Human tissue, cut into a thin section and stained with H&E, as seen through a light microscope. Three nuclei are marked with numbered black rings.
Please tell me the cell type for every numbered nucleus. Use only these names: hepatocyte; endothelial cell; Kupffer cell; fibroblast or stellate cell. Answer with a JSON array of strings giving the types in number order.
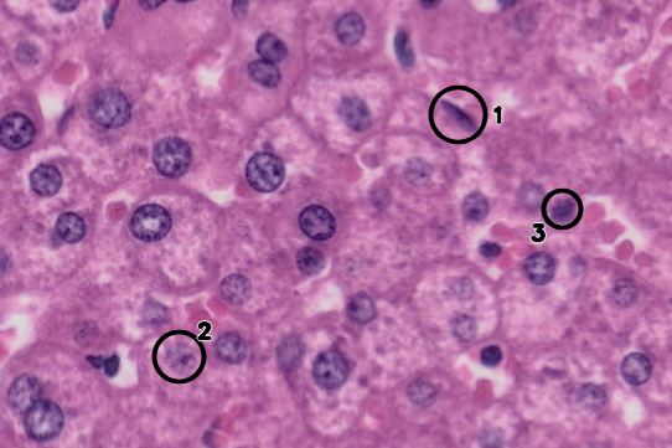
["endothelial cell", "hepatocyte", "fibroblast or stellate cell"]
